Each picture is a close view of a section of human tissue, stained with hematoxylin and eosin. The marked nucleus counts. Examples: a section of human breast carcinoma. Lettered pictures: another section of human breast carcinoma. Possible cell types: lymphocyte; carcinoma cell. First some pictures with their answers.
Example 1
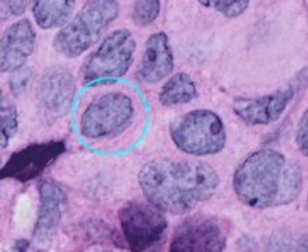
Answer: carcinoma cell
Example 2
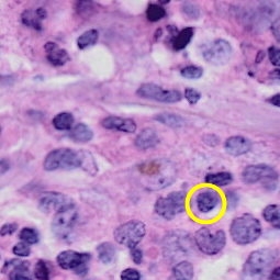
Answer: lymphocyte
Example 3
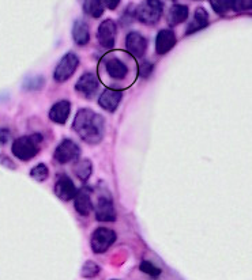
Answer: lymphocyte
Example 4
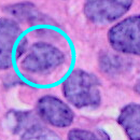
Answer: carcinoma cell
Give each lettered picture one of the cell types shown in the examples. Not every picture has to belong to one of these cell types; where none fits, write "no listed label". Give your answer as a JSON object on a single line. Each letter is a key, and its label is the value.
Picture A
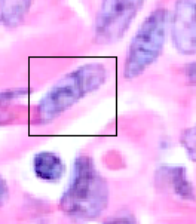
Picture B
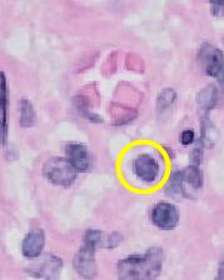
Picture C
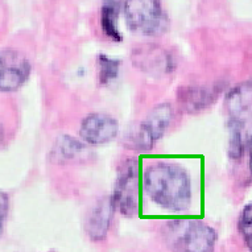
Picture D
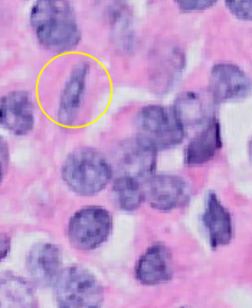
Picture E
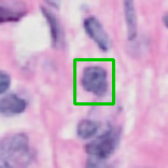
{"A": "no listed label", "B": "lymphocyte", "C": "carcinoma cell", "D": "no listed label", "E": "lymphocyte"}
